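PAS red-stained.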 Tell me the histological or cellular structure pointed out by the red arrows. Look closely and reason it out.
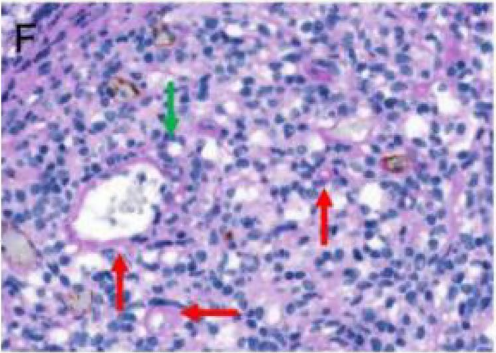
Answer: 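The red arrows point to round or oval spaces lined by a magenta rim. The lined spaces lie among densely packed tumour cells. The answer: tubular structures.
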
